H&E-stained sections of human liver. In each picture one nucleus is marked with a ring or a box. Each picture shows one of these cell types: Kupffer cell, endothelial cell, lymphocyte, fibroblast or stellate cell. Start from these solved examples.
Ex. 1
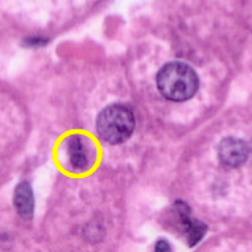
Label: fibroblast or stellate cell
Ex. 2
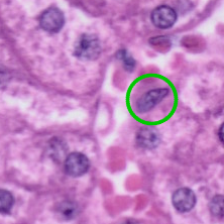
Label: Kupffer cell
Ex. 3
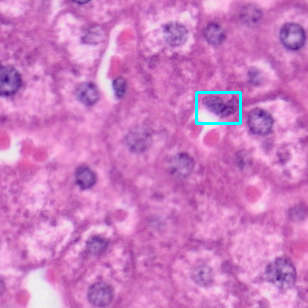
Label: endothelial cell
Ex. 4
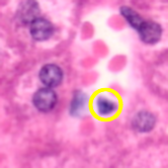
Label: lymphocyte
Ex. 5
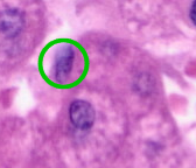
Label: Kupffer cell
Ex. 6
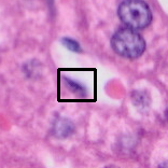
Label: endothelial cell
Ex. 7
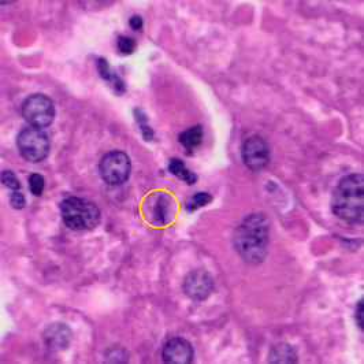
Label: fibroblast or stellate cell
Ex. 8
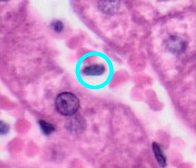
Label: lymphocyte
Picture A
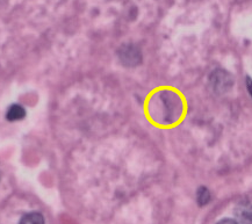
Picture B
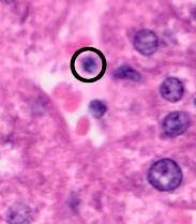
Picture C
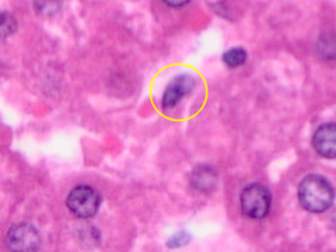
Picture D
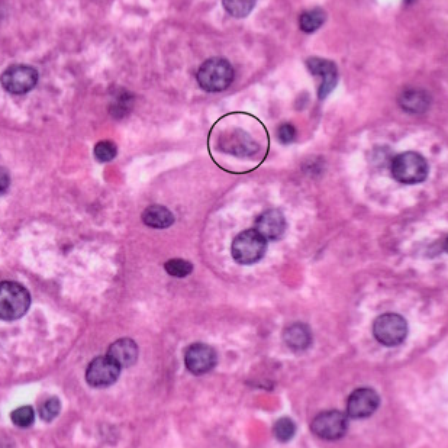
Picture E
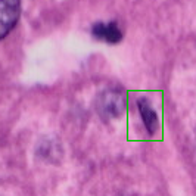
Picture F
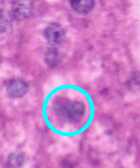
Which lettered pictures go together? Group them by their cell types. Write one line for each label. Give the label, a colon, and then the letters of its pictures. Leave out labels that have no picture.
Kupffer cell: C, D
endothelial cell: A, E, F
lymphocyte: B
